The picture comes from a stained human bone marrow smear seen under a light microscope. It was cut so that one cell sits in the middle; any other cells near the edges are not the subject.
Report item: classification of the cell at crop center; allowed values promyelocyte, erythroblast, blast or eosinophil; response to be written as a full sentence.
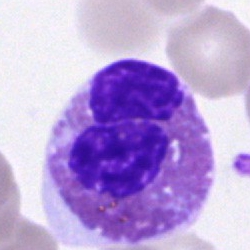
Here the cell in the middle is an eosinophil.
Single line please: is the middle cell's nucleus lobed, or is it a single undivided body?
The nuclear outline breaks up into two or more lobes.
